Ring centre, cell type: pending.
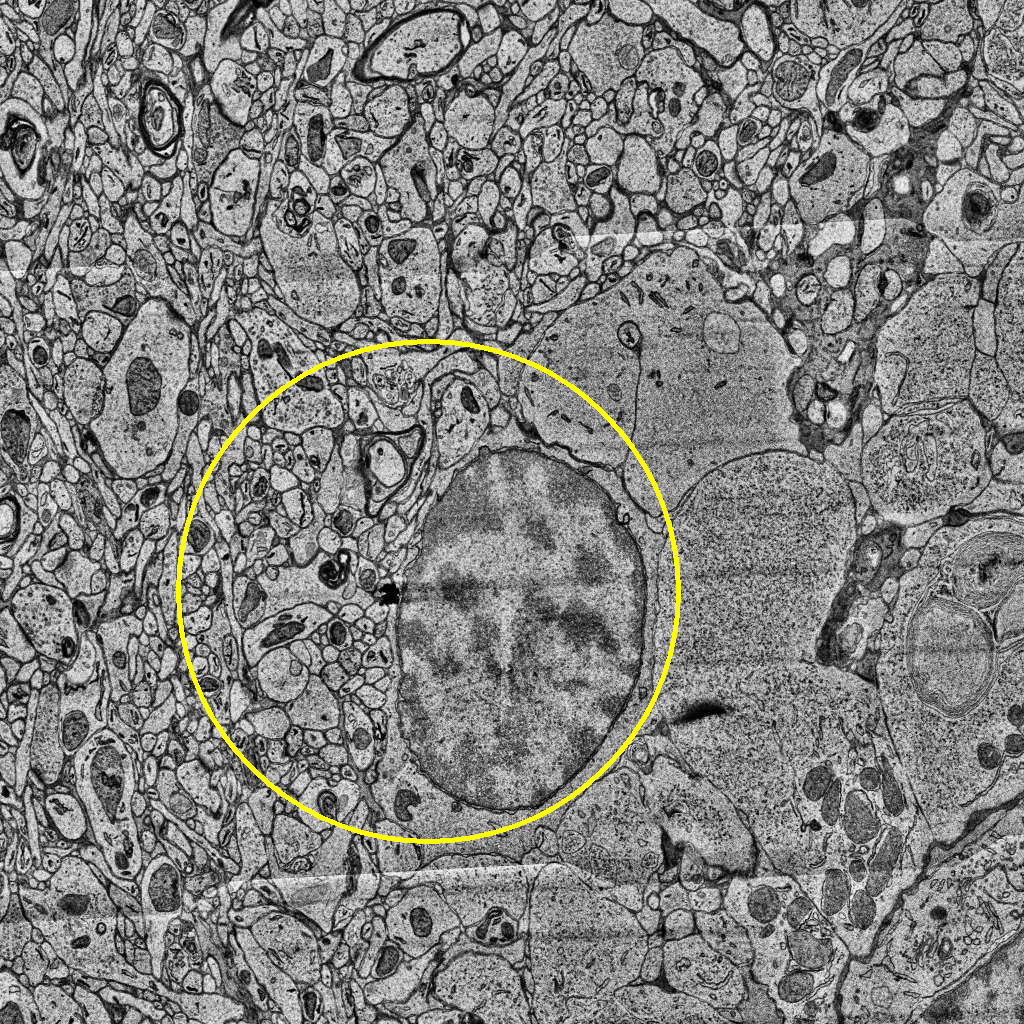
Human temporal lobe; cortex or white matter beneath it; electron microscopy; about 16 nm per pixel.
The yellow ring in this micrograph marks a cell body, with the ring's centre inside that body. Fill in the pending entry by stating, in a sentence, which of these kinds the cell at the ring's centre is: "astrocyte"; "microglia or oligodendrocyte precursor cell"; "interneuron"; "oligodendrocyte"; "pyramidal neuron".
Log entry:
The cell at the ring's centre is recorded as an oligodendrocyte.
